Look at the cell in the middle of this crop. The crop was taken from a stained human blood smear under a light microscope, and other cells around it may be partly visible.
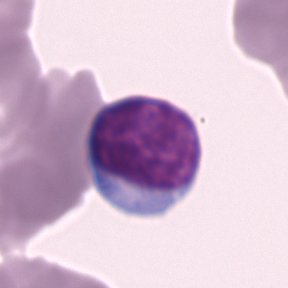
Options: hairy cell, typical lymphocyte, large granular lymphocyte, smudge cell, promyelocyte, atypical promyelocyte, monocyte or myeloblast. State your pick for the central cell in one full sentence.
In the central position of this crop, the cell is a typical lymphocyte.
